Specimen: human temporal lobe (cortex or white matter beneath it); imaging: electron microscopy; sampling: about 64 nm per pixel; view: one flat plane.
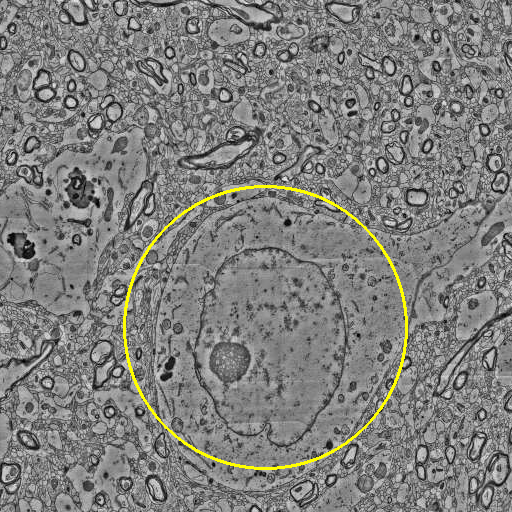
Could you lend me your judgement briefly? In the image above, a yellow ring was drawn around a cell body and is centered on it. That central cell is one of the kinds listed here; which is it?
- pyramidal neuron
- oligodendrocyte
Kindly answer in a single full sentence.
Going by the list, a pyramidal neuron is the kind at the ring's center in the picture.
